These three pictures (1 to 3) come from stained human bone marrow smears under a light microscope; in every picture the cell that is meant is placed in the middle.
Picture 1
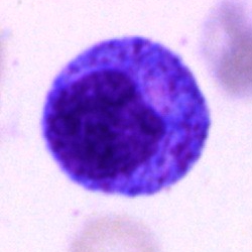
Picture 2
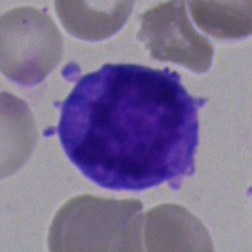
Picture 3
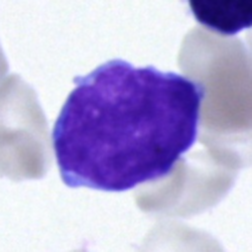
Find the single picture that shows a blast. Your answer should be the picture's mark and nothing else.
3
